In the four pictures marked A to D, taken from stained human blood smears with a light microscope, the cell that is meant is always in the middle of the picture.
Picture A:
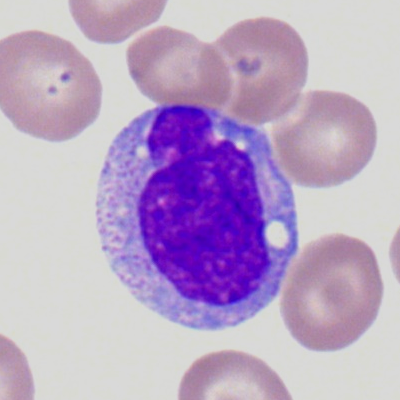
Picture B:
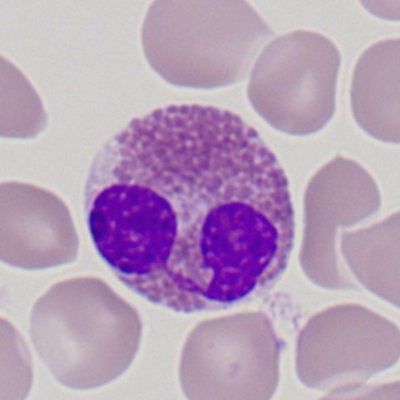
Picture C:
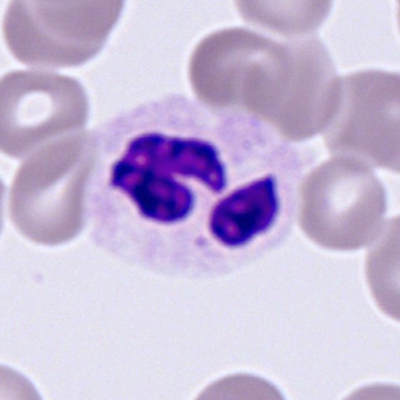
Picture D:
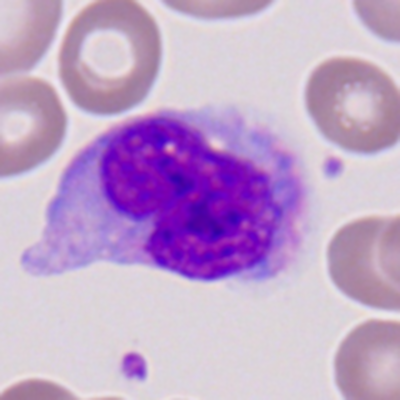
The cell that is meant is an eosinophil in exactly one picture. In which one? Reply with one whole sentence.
Picture B shows the eosinophil.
